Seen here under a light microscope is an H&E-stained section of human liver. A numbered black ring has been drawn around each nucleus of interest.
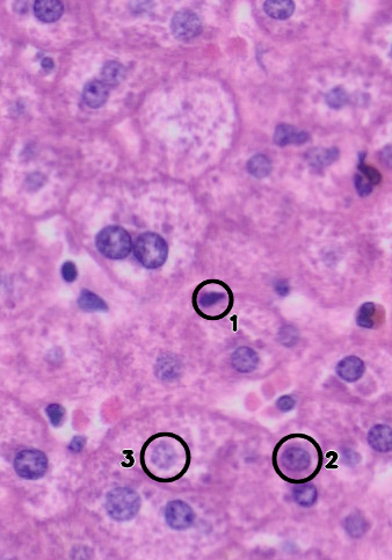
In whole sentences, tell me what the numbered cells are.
Cell 1 is a fibroblast or stellate cell. Cells 2 and 3 are hepatocytes.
